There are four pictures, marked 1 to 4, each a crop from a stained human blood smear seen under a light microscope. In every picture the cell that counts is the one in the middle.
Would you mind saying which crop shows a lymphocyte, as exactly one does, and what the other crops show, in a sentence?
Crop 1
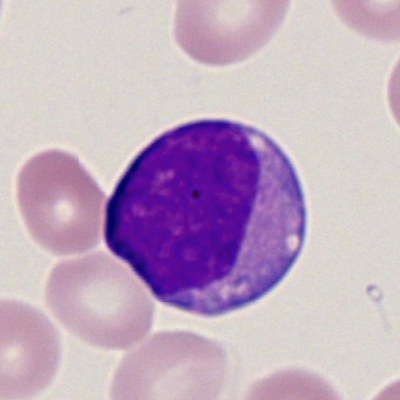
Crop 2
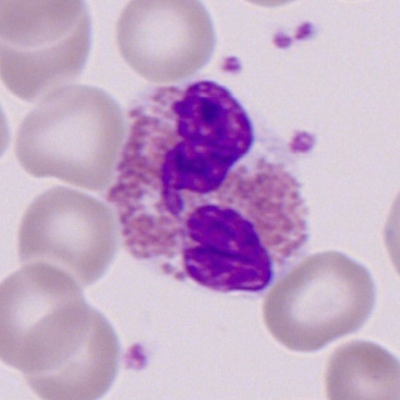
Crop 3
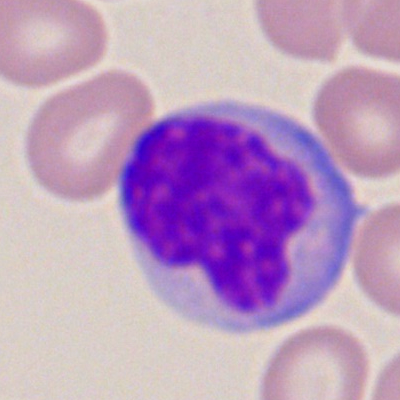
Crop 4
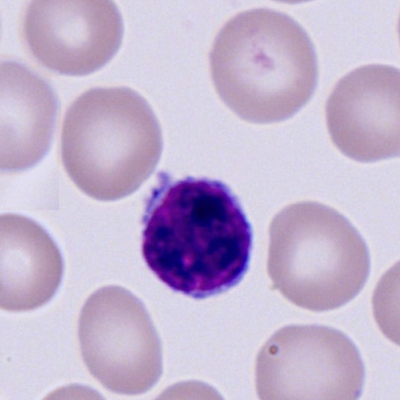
In crop 4 the cell is a lymphocyte, whereas crop 1 is a blast, crop 2 is an eosinophil and crop 3 is a monocyte.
